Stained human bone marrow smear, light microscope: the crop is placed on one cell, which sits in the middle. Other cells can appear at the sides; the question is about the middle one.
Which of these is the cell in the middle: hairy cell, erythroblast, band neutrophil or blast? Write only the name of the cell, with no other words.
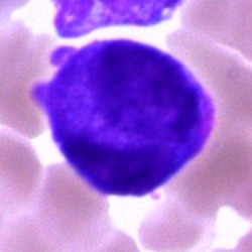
blast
